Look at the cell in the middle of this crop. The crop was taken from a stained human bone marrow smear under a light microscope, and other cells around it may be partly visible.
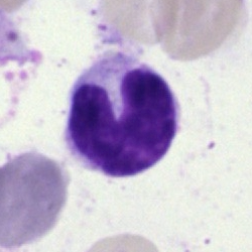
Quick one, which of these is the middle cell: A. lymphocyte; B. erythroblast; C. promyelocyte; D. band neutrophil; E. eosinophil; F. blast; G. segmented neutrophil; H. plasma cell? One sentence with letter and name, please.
The central cell of the crop is a band neutrophil, which makes D the correct option.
